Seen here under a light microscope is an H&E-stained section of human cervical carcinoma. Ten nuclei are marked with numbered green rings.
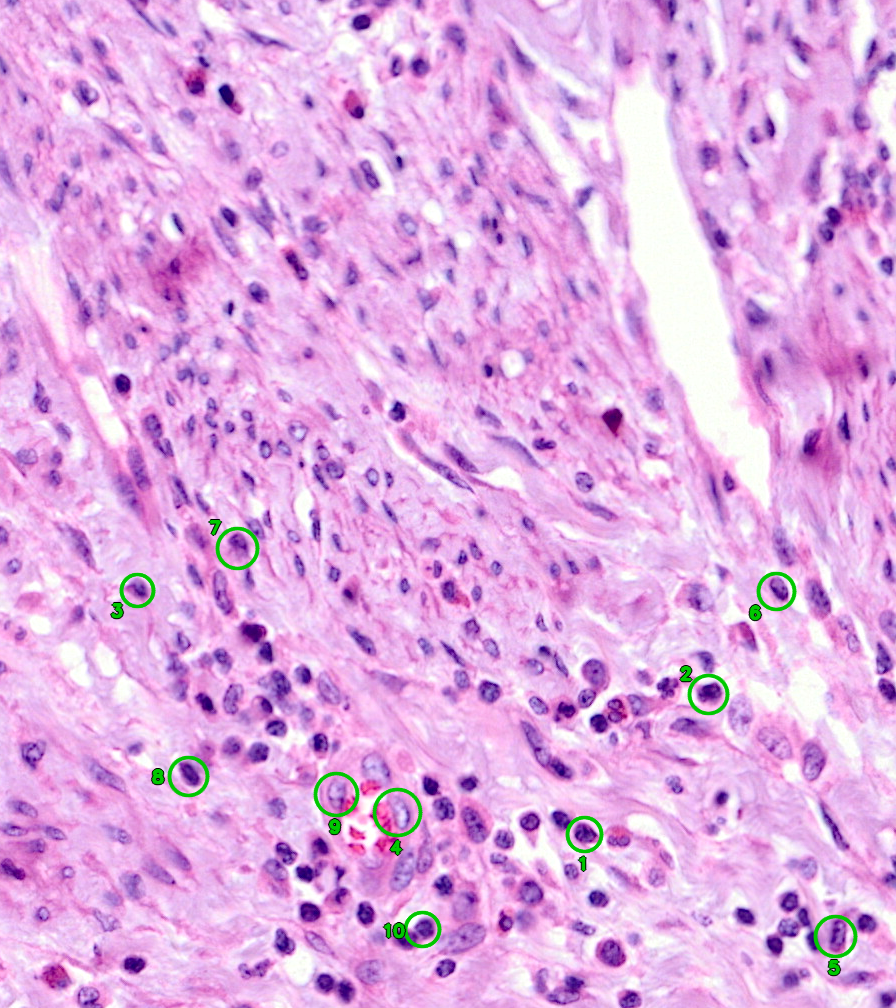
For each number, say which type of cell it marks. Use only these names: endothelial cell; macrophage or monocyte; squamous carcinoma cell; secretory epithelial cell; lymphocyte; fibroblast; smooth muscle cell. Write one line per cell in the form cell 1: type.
cell 1: lymphocyte
cell 2: lymphocyte
cell 3: lymphocyte
cell 4: endothelial cell
cell 5: macrophage or monocyte
cell 6: lymphocyte
cell 7: macrophage or monocyte
cell 8: lymphocyte
cell 9: endothelial cell
cell 10: lymphocyte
